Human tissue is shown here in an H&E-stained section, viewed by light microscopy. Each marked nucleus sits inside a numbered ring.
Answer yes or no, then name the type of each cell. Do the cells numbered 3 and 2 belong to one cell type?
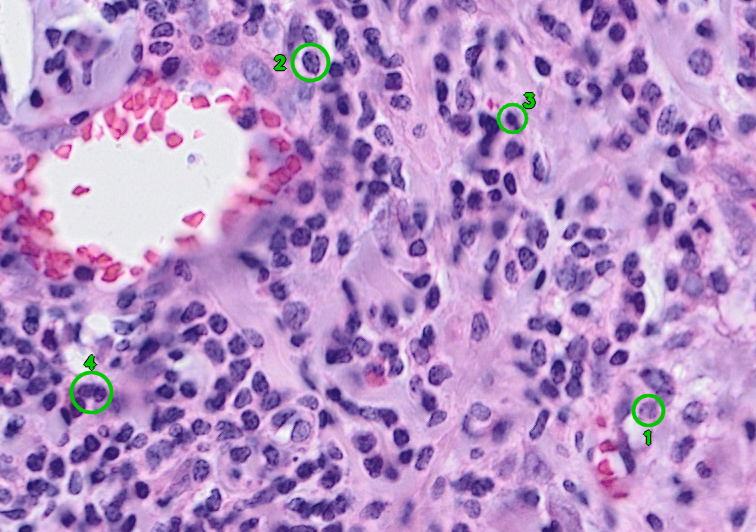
Yes, cells 3 and 2 fall into the same group, both being lymphocytes.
